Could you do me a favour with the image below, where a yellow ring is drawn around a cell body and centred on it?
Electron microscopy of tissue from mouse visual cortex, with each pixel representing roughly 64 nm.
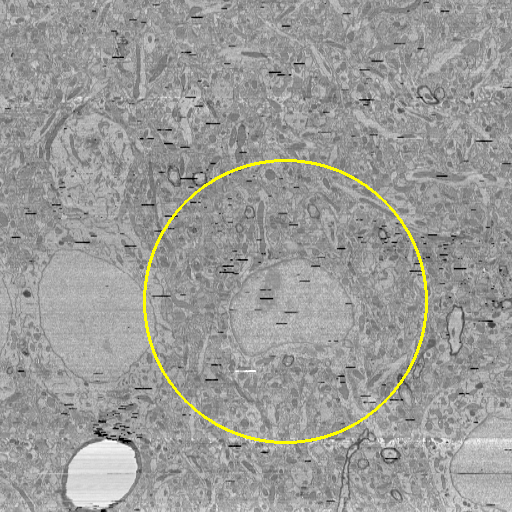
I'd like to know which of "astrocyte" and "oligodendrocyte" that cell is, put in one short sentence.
The cell at the ring's centre is an astrocyte.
